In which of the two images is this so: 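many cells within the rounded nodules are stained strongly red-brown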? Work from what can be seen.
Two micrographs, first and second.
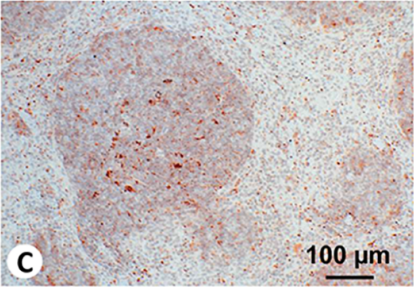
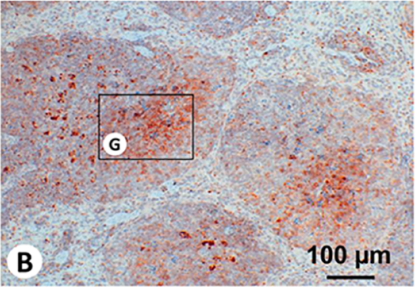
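Second image: the nodules contain dense patches of red-brown stained cells.
Answer: the second image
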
